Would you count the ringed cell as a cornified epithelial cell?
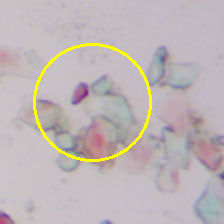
Yes, I would count it as a cornified epithelial cell.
